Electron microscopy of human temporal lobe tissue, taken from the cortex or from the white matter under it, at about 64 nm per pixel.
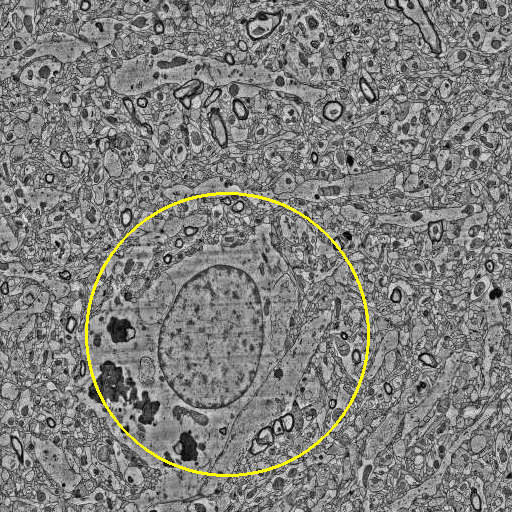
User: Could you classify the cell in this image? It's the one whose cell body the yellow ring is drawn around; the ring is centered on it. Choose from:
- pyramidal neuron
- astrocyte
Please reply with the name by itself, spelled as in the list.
astrocyte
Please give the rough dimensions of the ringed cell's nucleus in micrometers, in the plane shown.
The nucleus comes to roughly 9 by 7 micrometres in this plane.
